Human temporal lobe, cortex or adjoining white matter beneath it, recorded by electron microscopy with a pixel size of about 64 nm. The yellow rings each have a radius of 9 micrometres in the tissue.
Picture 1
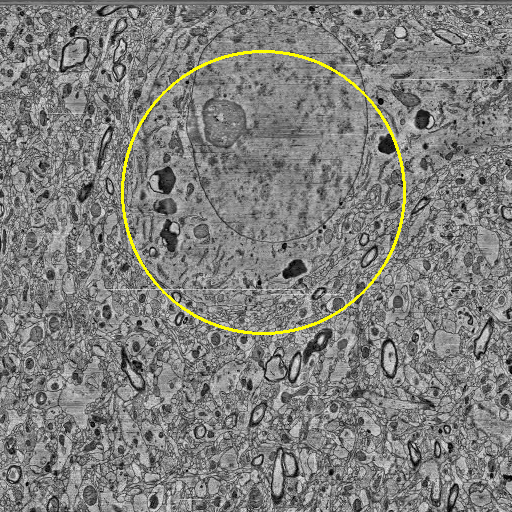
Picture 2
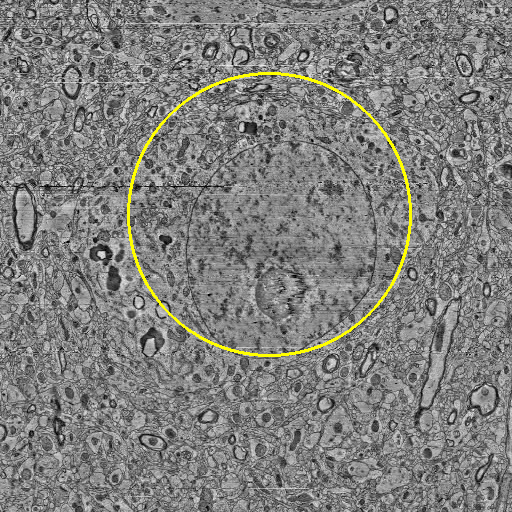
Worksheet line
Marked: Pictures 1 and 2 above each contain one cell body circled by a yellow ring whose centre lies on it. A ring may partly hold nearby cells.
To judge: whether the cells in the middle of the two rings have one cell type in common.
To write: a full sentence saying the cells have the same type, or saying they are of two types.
The cells in the middle of the rings in Picture 1 and Picture 2 have the same type.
